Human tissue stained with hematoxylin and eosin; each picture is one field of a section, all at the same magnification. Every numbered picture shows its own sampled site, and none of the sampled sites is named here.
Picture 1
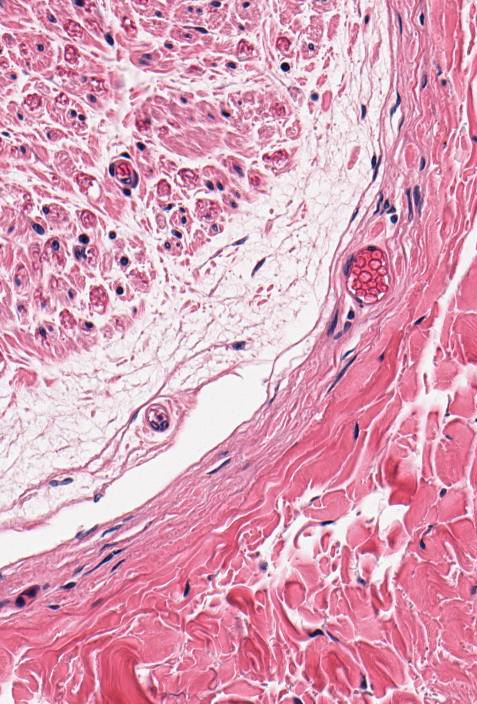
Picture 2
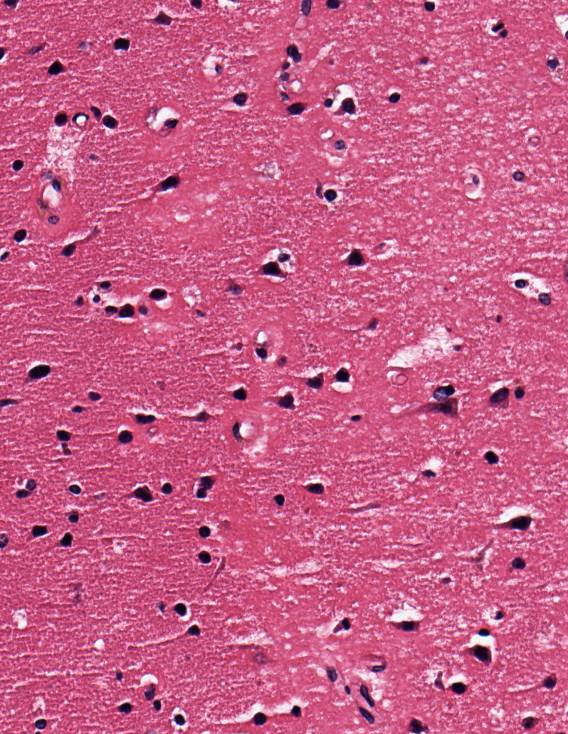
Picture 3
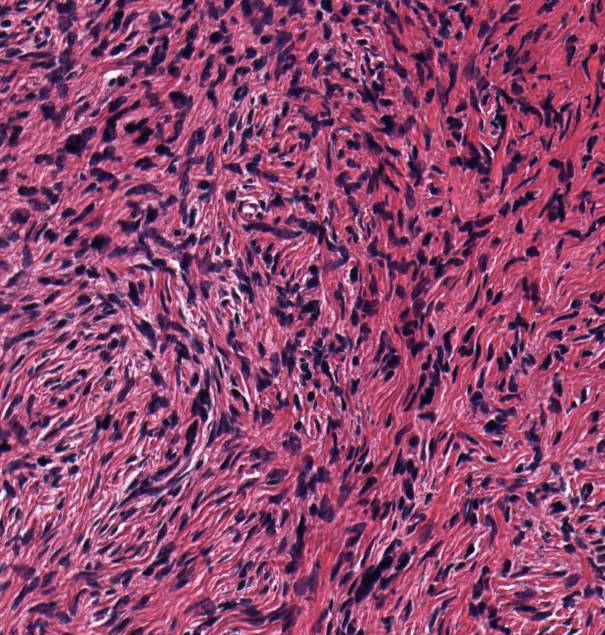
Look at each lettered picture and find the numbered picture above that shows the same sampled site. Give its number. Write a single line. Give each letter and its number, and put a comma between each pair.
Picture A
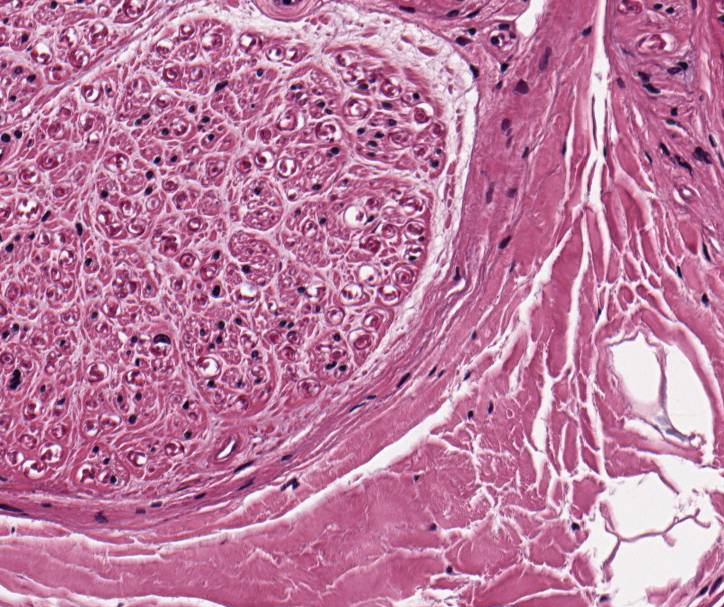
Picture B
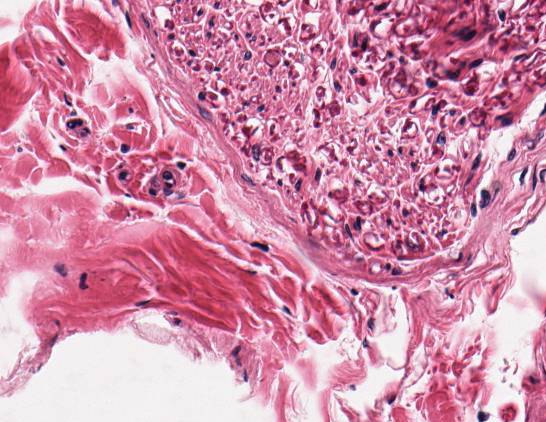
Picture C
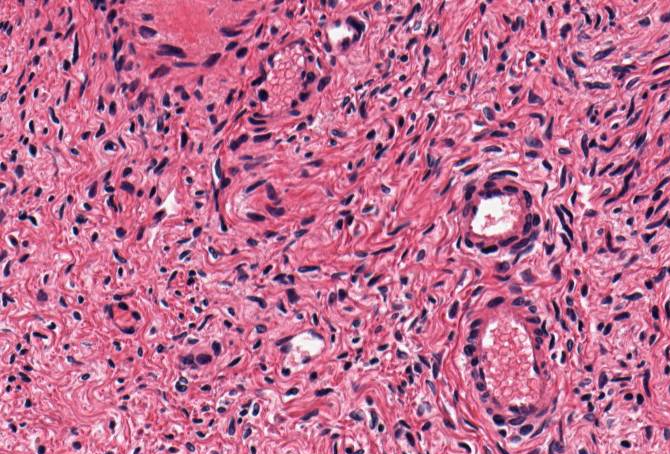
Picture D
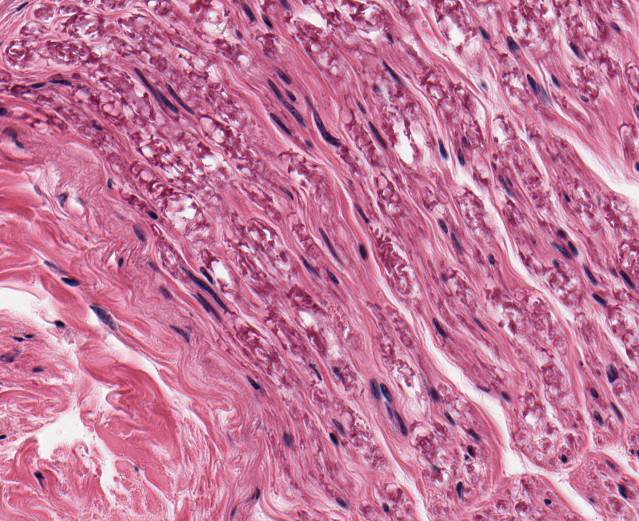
A 1, B 1, C 3, D 1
